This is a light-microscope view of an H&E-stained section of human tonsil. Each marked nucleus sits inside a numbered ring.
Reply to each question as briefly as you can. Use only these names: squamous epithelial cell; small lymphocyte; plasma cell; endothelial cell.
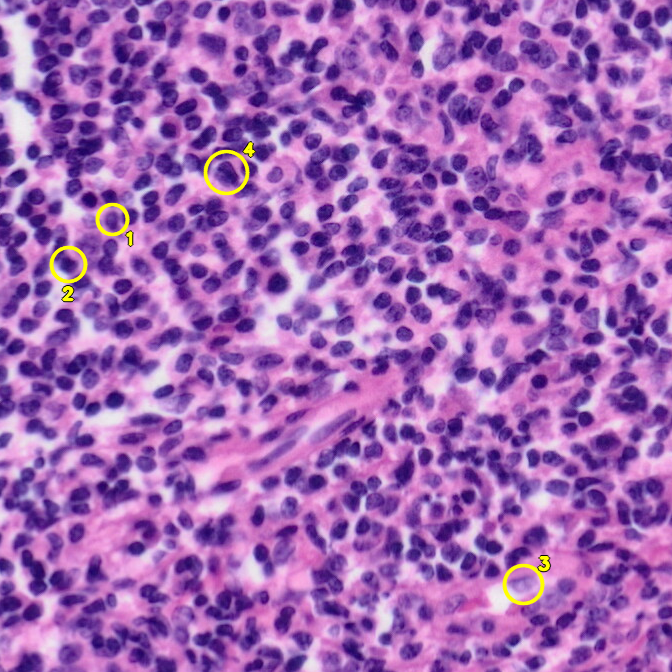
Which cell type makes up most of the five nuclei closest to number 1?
small lymphocyte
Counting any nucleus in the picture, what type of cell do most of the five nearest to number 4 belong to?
small lymphocyte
